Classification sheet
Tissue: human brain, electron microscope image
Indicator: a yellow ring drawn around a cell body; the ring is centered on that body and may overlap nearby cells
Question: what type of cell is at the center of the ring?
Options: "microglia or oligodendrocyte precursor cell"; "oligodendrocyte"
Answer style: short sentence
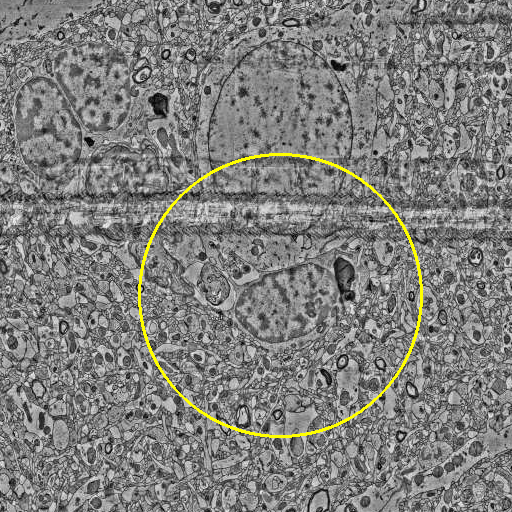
At the ring's center is an oligodendrocyte.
